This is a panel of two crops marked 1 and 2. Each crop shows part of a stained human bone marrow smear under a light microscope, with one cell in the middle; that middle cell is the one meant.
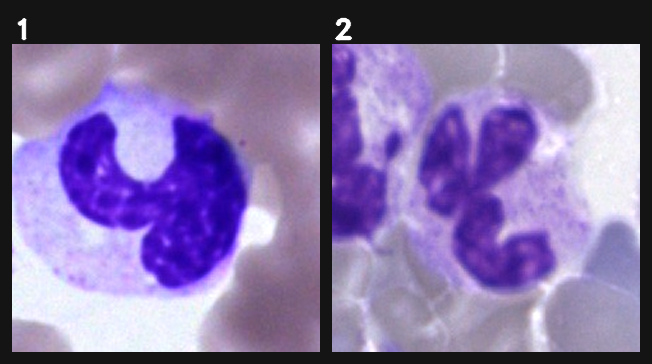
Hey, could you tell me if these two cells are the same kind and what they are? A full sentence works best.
Yes, segmented neutrophils are seen in both crops.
